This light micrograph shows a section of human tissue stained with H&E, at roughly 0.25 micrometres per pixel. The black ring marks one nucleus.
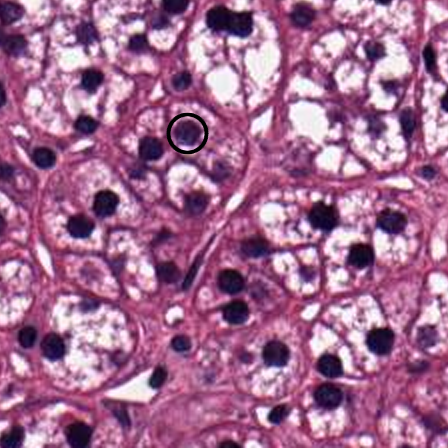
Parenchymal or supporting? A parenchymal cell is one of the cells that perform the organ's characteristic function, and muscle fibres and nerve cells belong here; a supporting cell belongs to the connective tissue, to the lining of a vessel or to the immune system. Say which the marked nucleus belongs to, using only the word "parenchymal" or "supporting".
parenchymal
